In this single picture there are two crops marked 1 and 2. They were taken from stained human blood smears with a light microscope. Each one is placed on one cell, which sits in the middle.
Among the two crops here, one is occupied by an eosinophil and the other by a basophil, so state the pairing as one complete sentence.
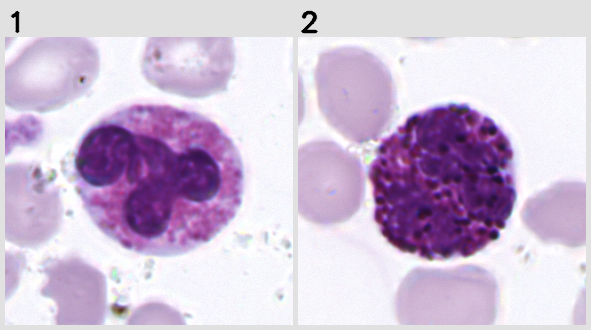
Crop 1 contains an eosinophil, and crop 2, a basophil.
